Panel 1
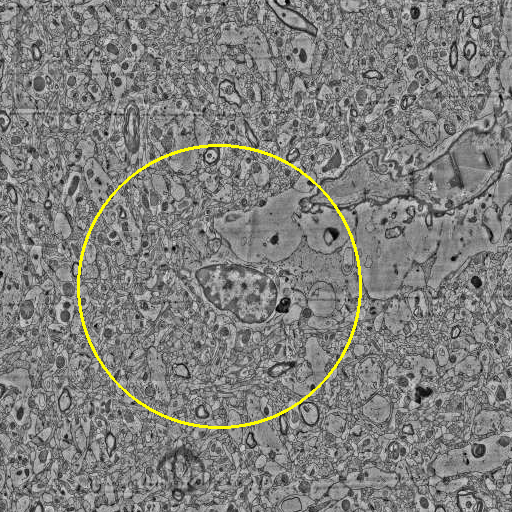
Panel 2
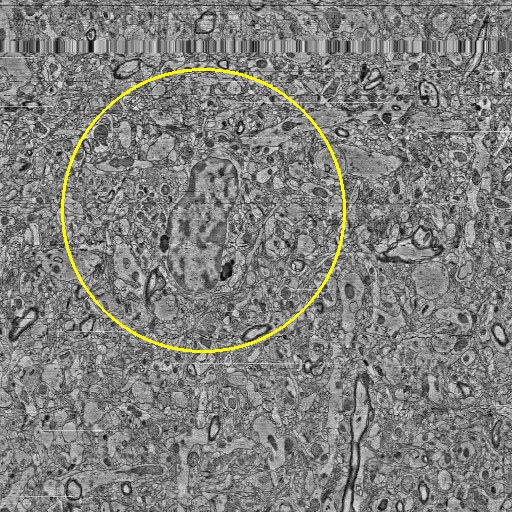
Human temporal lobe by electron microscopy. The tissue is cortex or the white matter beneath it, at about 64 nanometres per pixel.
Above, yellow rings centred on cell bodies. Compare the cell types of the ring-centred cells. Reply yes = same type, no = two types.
yes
